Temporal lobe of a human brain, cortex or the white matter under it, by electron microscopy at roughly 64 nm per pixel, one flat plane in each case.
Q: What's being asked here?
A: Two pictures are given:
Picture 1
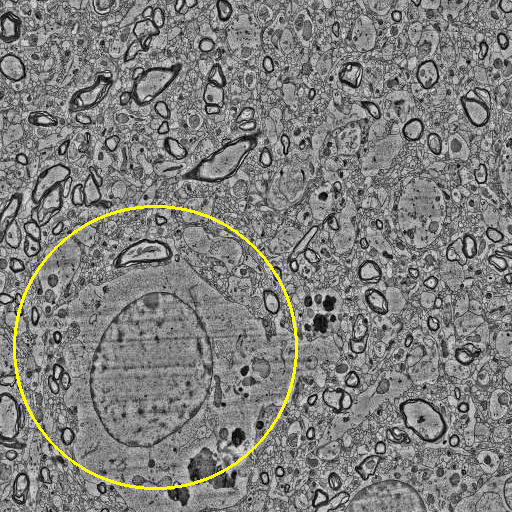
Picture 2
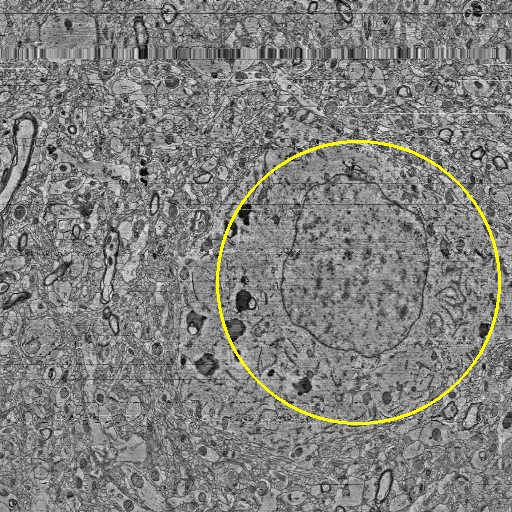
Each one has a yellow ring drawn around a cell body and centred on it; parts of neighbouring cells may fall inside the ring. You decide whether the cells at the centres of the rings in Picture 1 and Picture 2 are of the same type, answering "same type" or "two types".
two types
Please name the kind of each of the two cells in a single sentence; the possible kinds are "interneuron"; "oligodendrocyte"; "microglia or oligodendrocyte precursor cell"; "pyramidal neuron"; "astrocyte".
In the first picture the ring is centred on an astrocyte, and in the second on a pyramidal neuron.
